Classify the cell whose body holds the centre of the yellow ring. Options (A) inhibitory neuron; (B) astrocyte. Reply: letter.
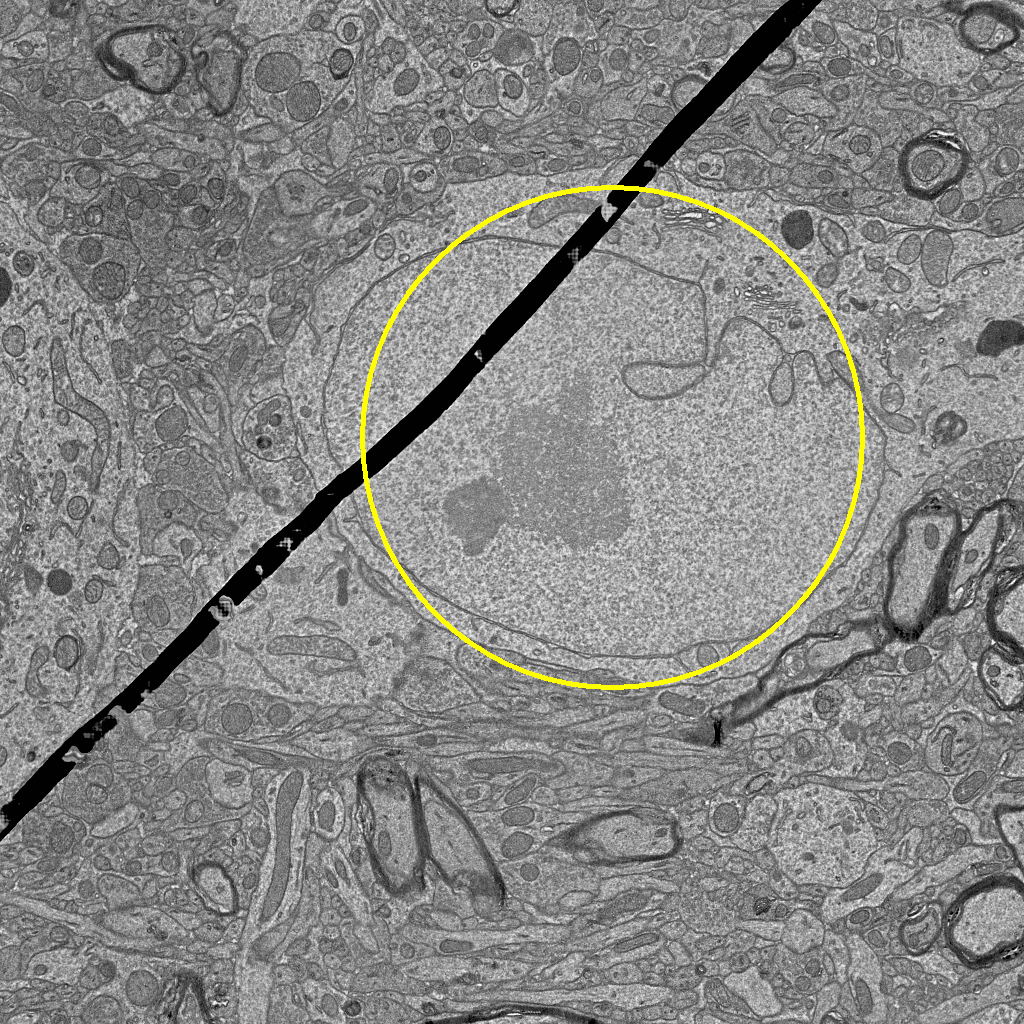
A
